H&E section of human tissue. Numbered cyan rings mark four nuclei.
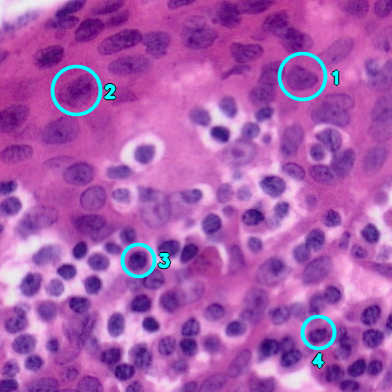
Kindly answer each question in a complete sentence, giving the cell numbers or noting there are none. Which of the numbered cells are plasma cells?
The cells that bear the numbers 3 and 4 are plasma cells.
